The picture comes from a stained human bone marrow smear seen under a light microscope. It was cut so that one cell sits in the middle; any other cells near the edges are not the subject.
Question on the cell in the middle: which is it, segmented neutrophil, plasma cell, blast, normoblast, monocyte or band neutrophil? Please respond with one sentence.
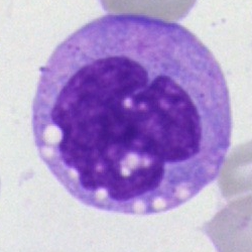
The cell positioned in the middle of the field is a monocyte.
